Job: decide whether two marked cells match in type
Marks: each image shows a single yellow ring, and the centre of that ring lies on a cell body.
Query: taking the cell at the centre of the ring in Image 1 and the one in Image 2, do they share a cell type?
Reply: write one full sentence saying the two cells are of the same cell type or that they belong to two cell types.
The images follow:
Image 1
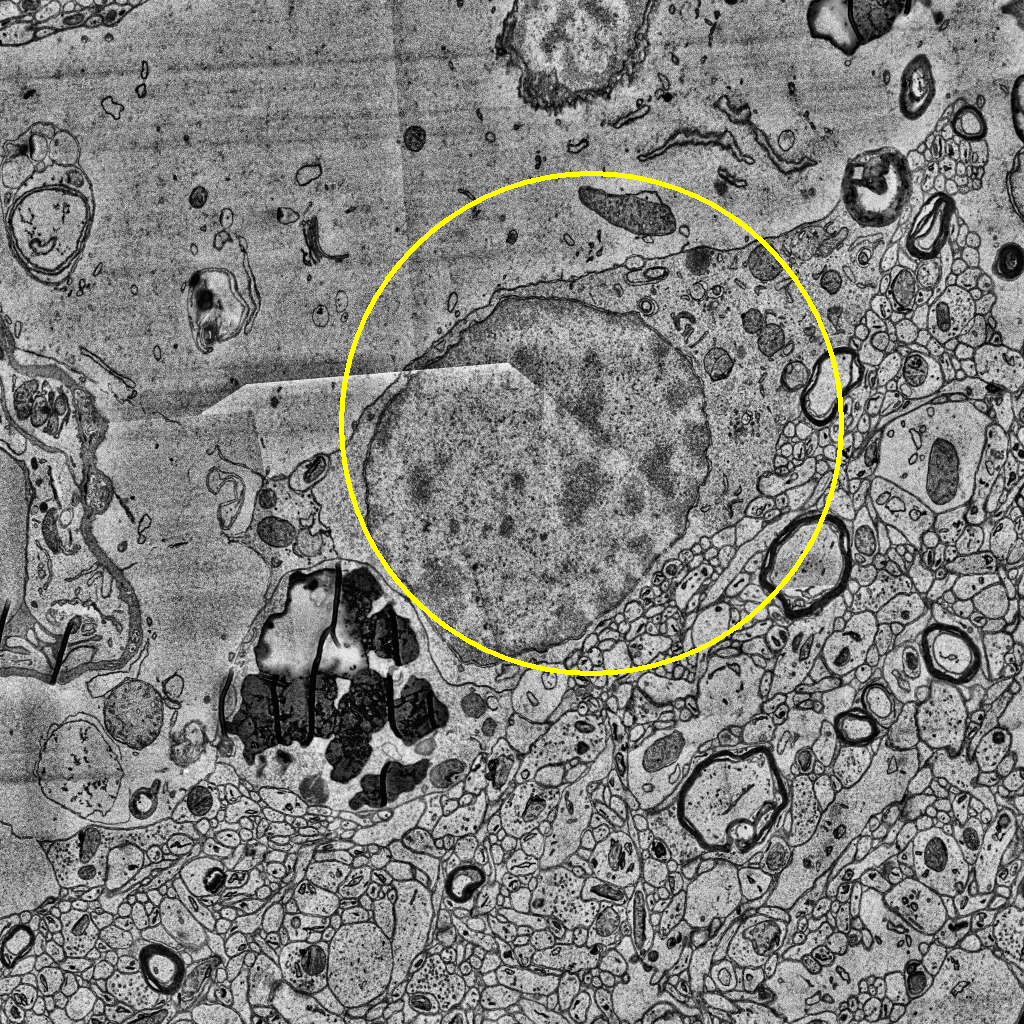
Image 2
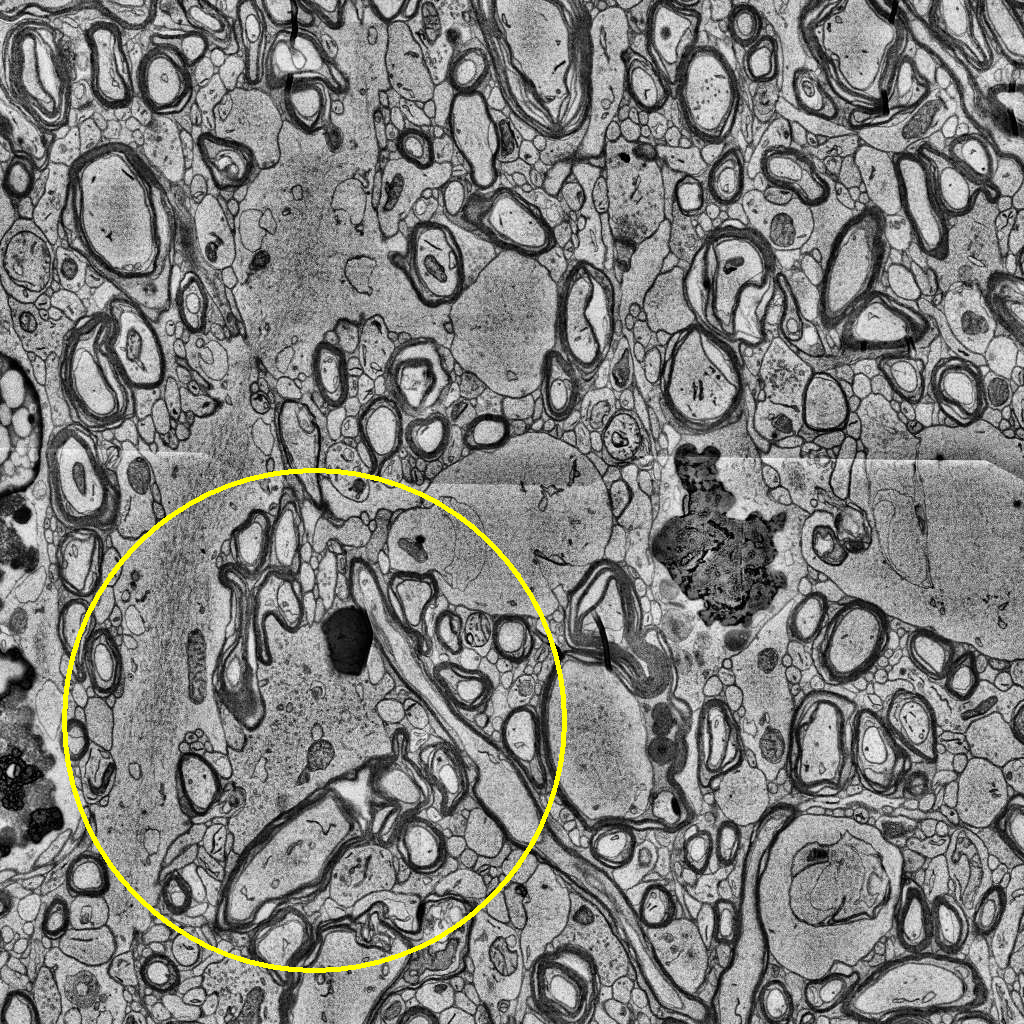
The cells at the ring centres in Image 1 and Image 2 are of the same cell type.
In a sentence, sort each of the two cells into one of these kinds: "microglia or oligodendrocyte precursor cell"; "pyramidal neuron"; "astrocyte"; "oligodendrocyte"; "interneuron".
Each of the two cells is an oligodendrocyte.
